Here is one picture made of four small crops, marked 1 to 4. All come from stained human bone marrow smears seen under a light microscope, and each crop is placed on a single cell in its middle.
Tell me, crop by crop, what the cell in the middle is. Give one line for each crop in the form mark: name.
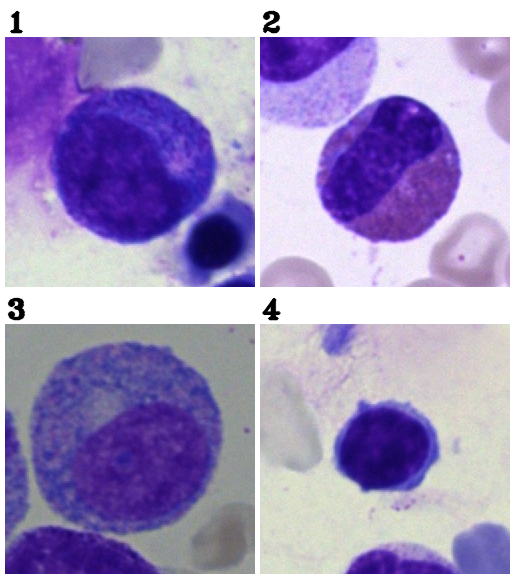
1: promyelocyte
2: eosinophil
3: promyelocyte
4: lymphocyte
